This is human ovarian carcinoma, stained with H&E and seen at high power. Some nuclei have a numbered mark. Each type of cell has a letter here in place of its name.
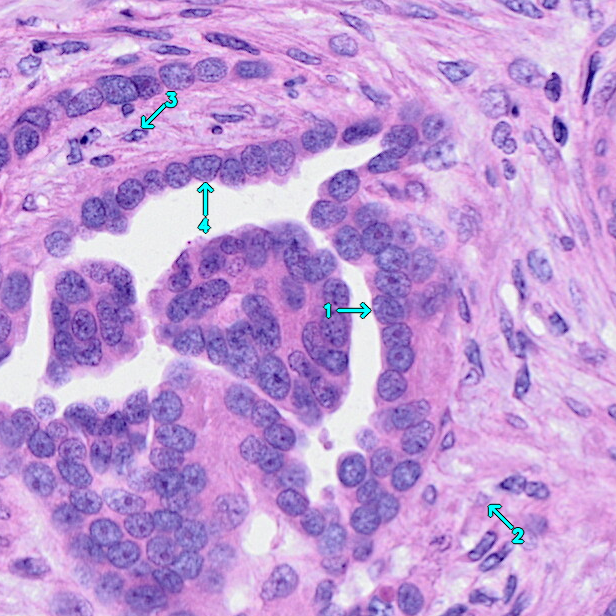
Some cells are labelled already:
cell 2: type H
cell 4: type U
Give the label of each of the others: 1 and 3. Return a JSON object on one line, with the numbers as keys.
{"1": "type U", "3": "type H"}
